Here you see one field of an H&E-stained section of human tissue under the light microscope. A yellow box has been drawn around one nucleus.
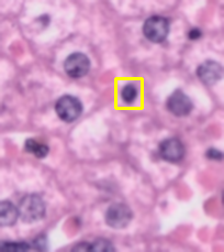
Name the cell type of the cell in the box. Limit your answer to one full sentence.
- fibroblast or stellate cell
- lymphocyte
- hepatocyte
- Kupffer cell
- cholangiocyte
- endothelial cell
The cell type represented by the cell in the box is that of a lymphocyte.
